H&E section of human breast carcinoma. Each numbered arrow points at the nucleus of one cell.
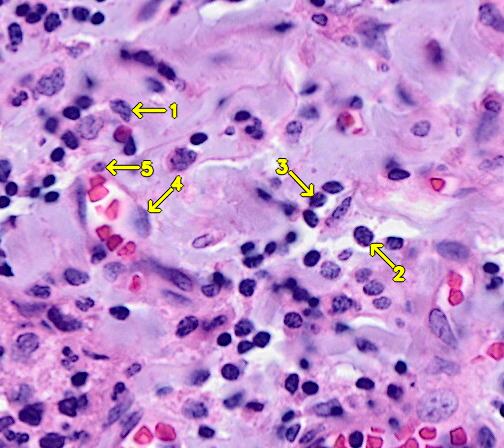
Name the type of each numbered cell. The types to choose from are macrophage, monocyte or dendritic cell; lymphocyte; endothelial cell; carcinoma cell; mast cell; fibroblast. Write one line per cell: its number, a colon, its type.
1: lymphocyte
2: lymphocyte
3: lymphocyte
4: endothelial cell
5: endothelial cell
